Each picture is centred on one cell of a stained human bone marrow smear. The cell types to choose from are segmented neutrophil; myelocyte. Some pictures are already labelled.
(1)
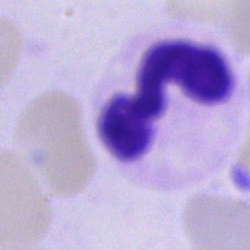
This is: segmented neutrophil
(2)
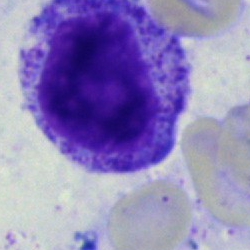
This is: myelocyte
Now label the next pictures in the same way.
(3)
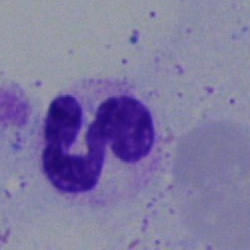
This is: segmented neutrophil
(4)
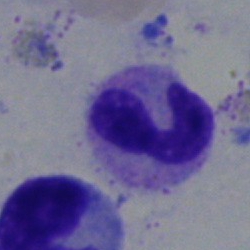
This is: segmented neutrophil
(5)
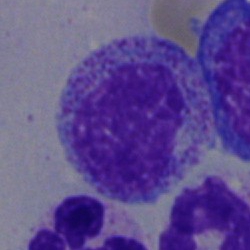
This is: myelocyte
